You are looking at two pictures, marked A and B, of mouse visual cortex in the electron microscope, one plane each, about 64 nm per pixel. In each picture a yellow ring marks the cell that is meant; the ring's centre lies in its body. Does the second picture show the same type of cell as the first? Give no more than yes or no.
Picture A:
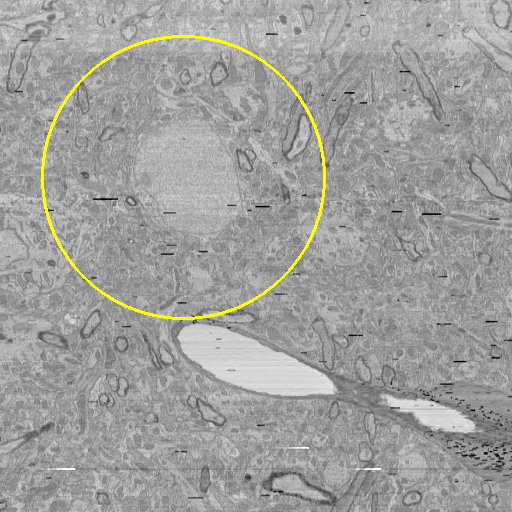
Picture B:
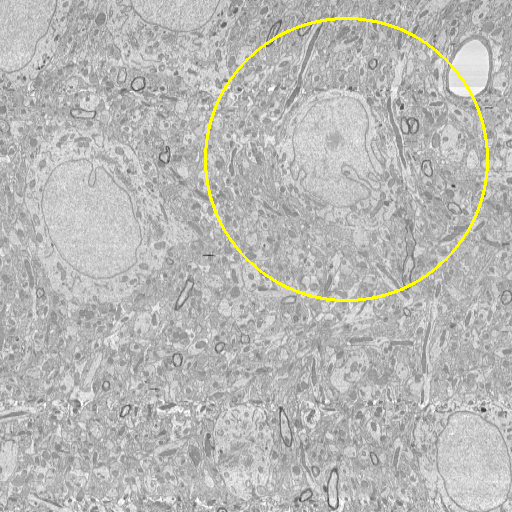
no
